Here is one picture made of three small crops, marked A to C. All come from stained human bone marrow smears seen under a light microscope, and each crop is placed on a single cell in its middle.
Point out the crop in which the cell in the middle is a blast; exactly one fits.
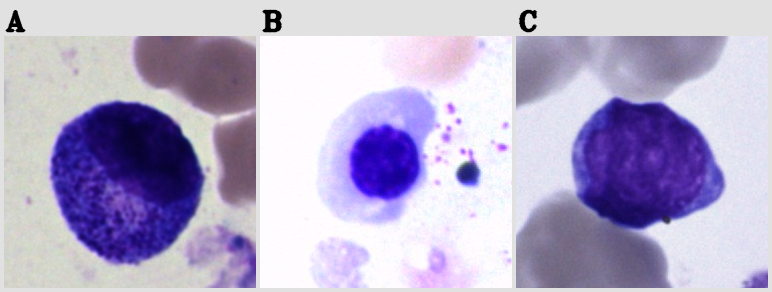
C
